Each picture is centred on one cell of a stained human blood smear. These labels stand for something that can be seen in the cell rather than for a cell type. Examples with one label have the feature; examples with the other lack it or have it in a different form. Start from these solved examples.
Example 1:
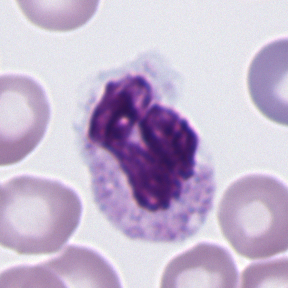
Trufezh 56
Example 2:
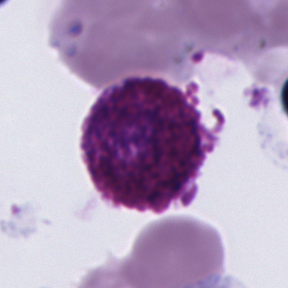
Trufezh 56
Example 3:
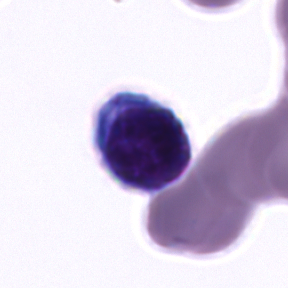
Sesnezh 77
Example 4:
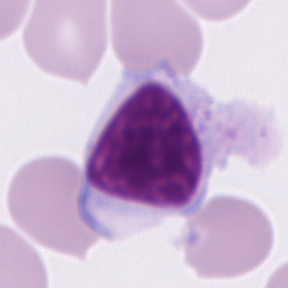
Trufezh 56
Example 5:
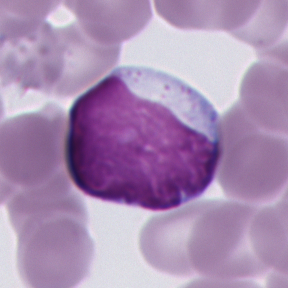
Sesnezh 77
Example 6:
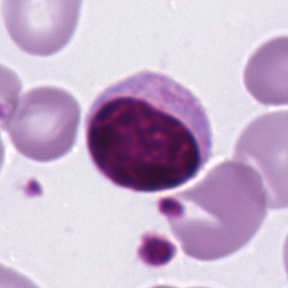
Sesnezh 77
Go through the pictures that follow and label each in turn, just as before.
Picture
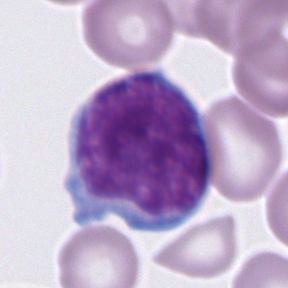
Trufezh 56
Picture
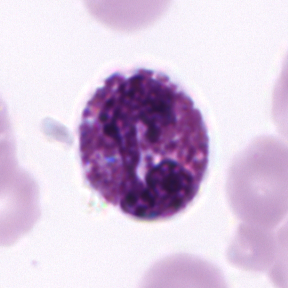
Sesnezh 77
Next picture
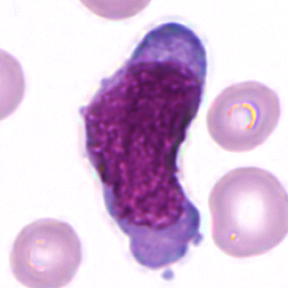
Trufezh 56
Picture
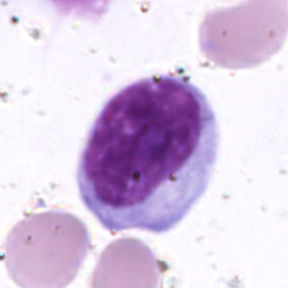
Sesnezh 77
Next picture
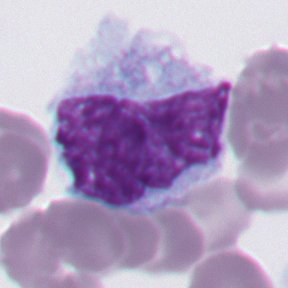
Trufezh 56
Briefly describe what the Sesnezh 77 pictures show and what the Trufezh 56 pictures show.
Sesnezh 77: smooth outline; Trufezh 56: ragged outline or projections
